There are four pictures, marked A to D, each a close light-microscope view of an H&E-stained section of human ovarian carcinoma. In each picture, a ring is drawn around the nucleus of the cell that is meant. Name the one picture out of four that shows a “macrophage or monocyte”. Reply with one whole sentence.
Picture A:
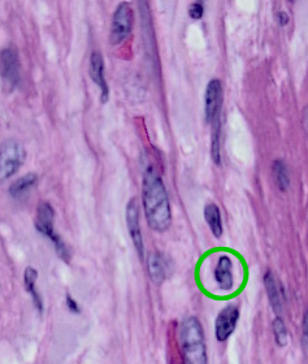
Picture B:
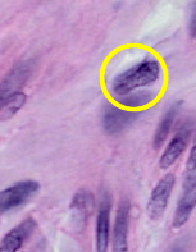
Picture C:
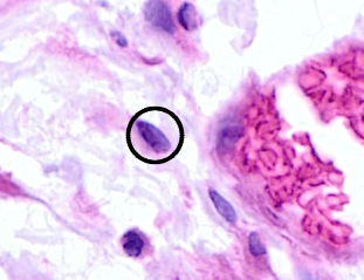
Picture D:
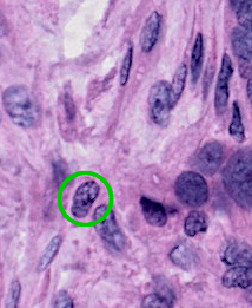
The cell in picture D is the “macrophage or monocyte”.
